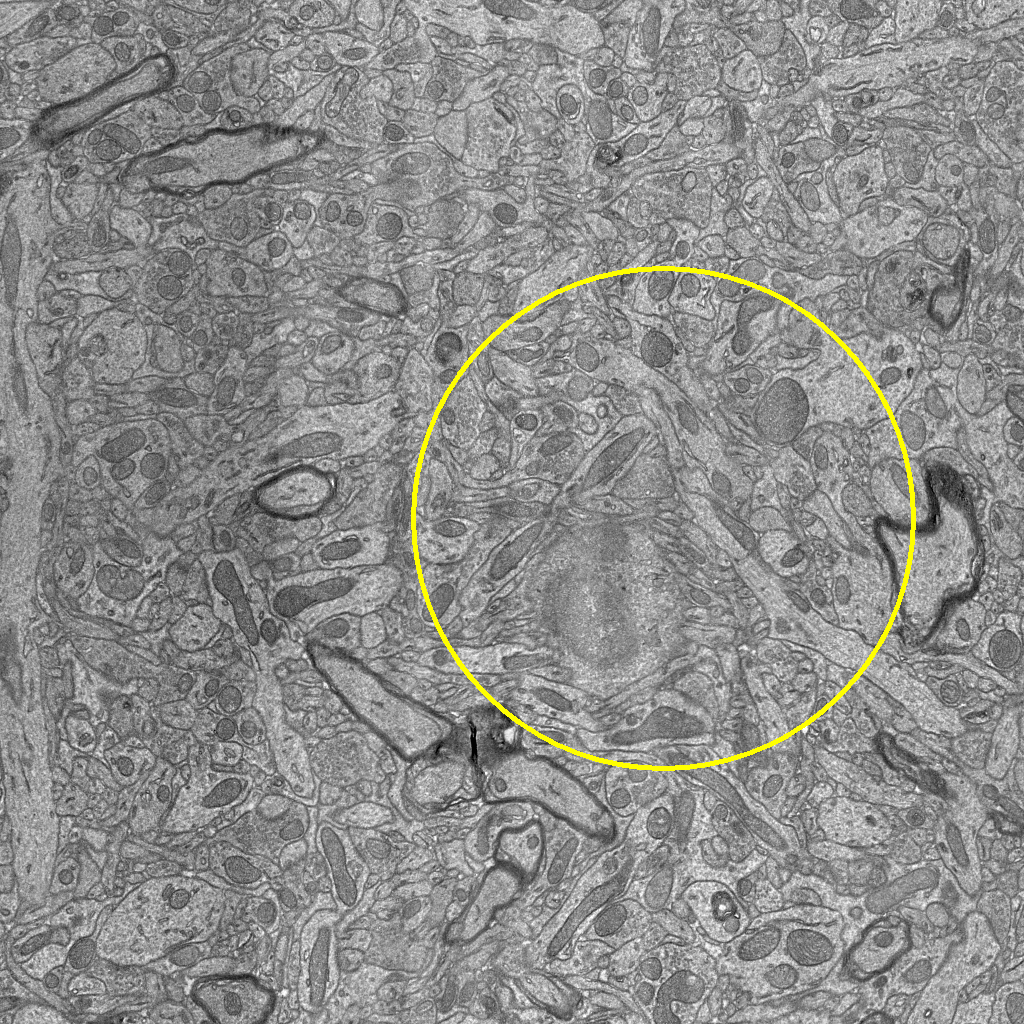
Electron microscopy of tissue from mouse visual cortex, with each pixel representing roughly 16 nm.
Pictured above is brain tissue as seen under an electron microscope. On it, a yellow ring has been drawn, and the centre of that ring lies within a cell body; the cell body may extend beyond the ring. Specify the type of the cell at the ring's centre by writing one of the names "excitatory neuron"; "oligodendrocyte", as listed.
oligodendrocyte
